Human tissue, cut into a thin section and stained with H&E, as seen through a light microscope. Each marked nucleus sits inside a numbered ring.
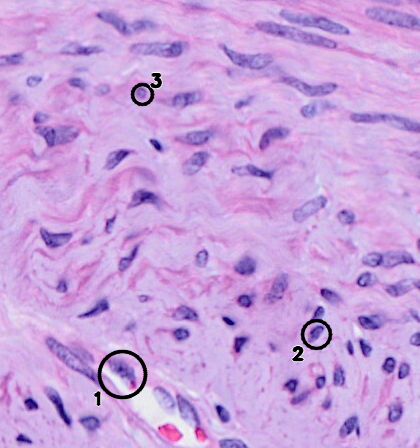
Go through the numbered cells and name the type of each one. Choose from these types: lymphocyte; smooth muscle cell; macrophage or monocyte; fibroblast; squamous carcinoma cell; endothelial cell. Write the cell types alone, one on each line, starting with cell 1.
endothelial cell
fibroblast
smooth muscle cell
